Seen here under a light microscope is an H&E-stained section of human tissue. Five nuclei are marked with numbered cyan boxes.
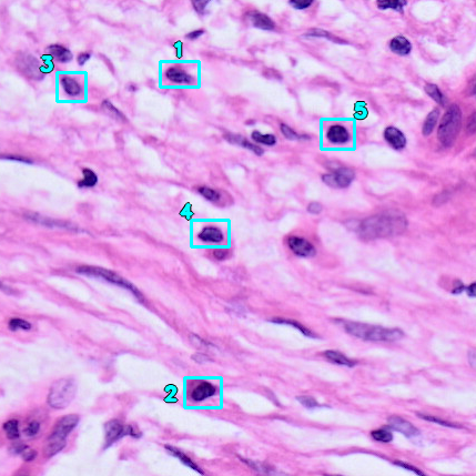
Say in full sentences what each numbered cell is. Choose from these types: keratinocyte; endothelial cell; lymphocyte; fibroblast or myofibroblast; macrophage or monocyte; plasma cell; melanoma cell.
Cells 1 and 4 are lymphocytes. Cells 2 and 5 are plasma cells. Cell 3 is a macrophage or monocyte.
